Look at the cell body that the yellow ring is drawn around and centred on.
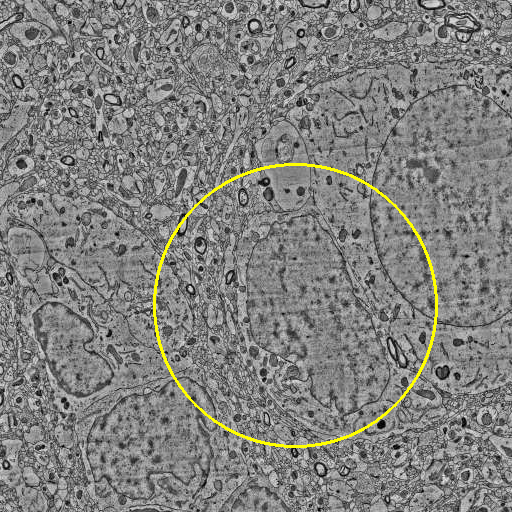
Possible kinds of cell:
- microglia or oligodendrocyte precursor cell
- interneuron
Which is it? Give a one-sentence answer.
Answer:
The centred cell body is that of an interneuron.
